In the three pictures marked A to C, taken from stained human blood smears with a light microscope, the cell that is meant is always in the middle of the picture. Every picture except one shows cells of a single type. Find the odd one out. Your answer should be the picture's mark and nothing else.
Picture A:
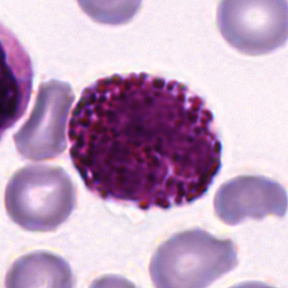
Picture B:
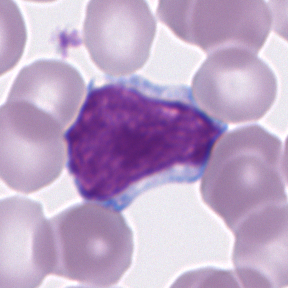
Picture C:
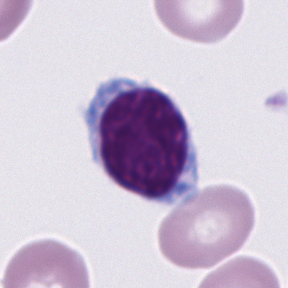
A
